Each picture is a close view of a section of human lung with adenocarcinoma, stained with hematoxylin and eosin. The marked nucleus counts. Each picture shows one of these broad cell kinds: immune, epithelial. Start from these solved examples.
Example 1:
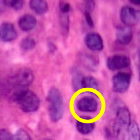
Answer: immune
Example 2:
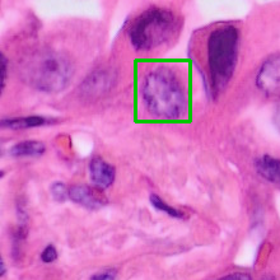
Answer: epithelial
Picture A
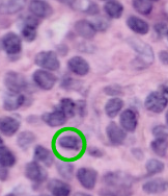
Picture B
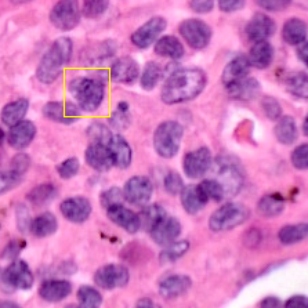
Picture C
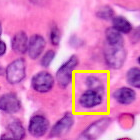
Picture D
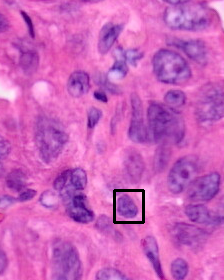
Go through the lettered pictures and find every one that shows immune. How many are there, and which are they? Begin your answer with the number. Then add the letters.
4, namely A, B, C, D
